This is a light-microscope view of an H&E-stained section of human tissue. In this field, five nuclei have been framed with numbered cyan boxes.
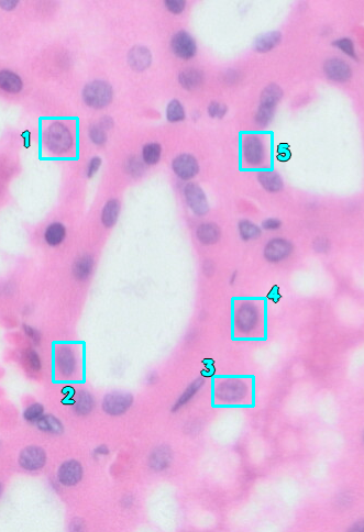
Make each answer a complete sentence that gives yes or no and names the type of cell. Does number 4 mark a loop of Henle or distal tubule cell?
No, it is not a loop of Henle or distal tubule cell that bears number 4 but a proximal tubule cell.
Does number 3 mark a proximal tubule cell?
Yes, the cell marked by the number 3 is a proximal tubule cell.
